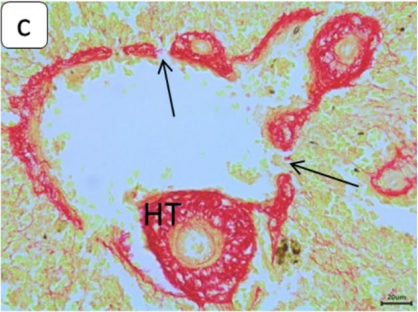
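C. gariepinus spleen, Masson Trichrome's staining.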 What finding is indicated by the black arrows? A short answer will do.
Degeneration of its wall.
